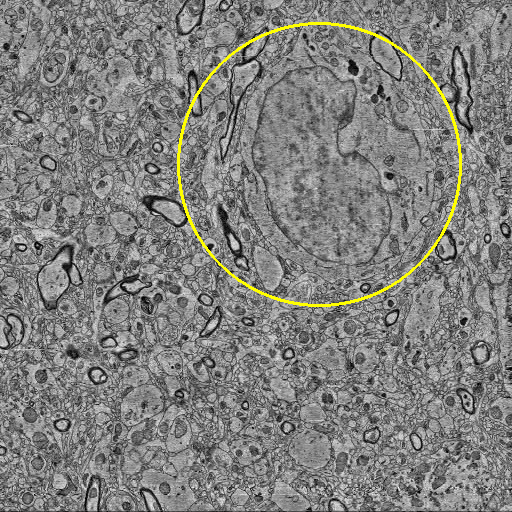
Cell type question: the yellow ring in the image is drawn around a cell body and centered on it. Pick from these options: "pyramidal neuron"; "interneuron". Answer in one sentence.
The ringed cell at the center is an interneuron.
